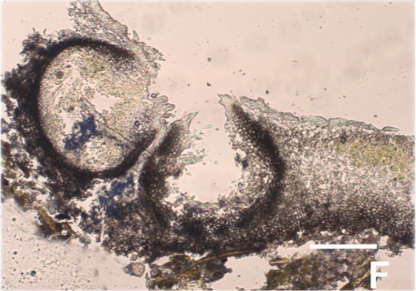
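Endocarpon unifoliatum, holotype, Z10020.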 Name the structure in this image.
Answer: perithecia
